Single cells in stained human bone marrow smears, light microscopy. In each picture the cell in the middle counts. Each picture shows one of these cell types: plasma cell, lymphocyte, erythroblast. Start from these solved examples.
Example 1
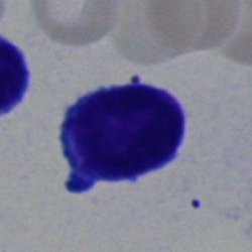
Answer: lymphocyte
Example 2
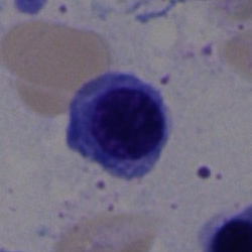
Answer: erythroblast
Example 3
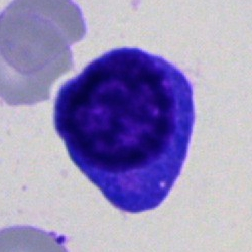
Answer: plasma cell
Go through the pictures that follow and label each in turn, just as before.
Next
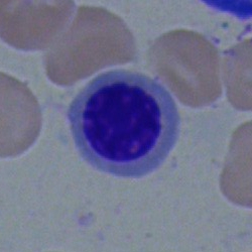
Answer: erythroblast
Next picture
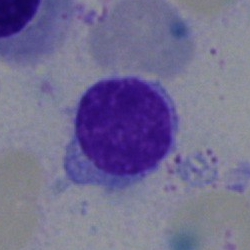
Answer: lymphocyte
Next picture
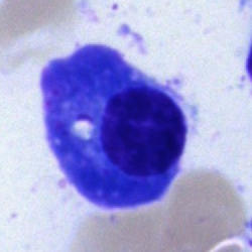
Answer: plasma cell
